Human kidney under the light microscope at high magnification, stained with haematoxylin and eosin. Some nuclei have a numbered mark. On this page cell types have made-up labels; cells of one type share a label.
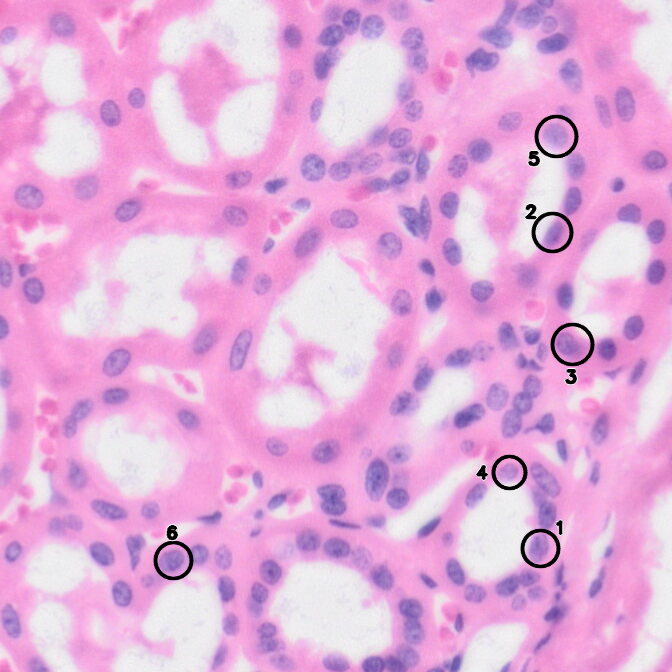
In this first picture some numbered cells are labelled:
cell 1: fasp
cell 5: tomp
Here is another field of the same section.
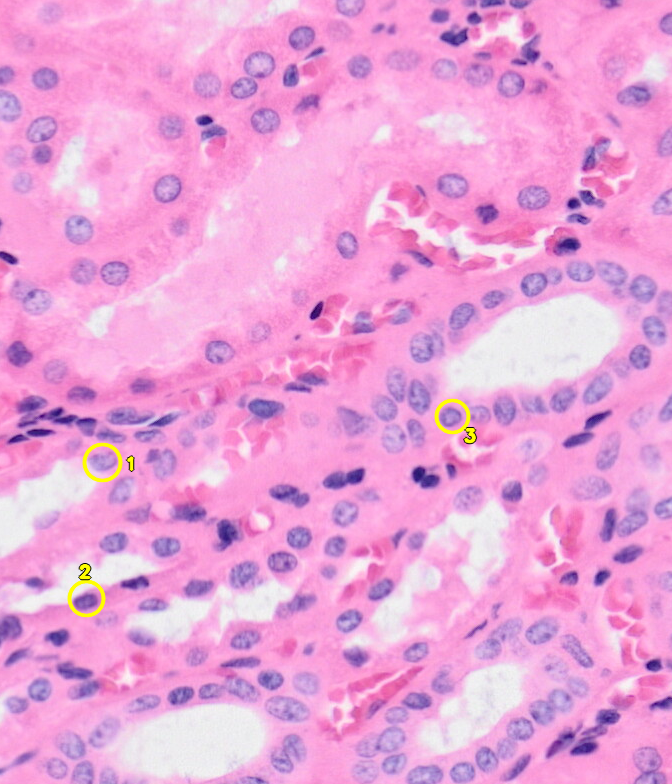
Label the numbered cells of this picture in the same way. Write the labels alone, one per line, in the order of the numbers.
tomp
tomp
fasp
